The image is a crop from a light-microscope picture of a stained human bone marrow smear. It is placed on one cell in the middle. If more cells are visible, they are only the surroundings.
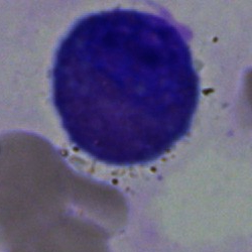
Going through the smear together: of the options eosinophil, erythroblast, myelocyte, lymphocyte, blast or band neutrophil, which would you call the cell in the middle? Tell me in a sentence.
In the middle of this smear crop is an eosinophil.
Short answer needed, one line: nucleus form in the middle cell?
Round, oval or kidney-shaped, the nucleus is one compact mass.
